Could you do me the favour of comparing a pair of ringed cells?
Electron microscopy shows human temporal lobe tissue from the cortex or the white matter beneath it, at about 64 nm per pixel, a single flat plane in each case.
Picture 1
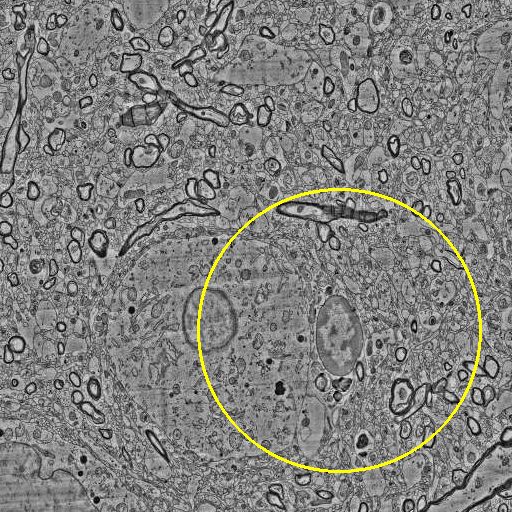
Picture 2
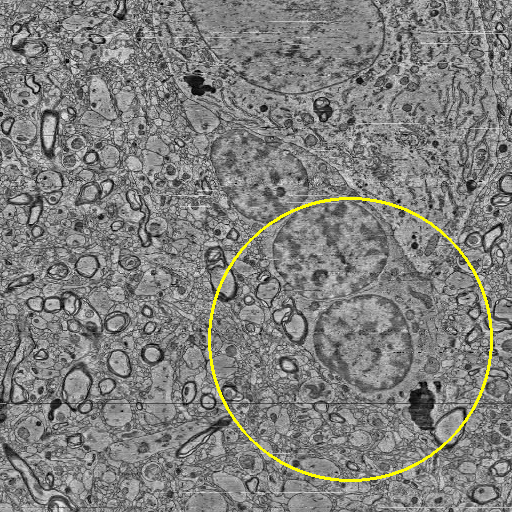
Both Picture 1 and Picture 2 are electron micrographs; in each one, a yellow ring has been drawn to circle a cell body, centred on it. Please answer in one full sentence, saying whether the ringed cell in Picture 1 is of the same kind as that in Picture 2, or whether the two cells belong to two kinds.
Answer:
The ringed cells in Picture 1 and Picture 2 belong to two kinds.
